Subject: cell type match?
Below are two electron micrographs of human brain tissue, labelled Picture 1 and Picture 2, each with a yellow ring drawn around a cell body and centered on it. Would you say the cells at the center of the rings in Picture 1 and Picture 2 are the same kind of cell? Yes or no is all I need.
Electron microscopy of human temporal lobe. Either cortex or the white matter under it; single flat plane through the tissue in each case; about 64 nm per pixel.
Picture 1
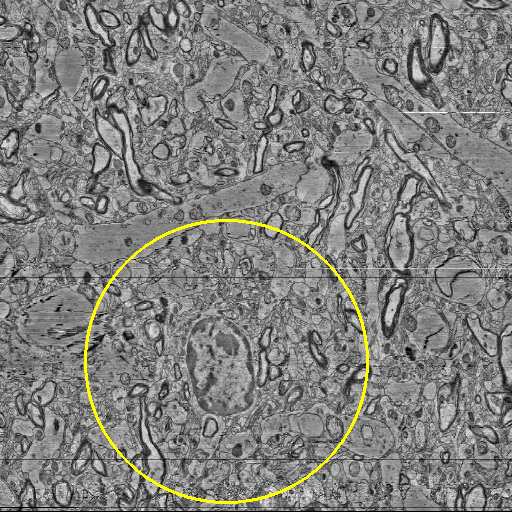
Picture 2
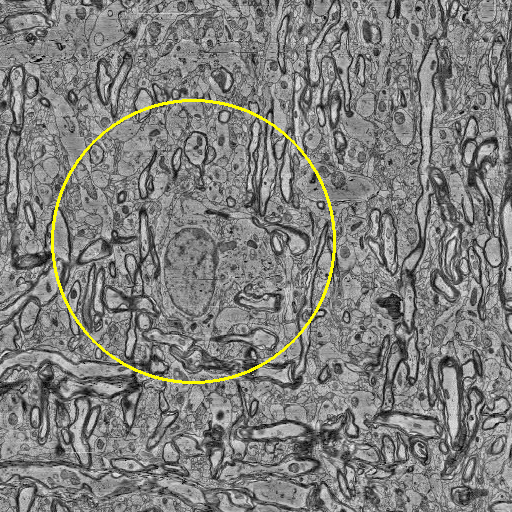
yes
